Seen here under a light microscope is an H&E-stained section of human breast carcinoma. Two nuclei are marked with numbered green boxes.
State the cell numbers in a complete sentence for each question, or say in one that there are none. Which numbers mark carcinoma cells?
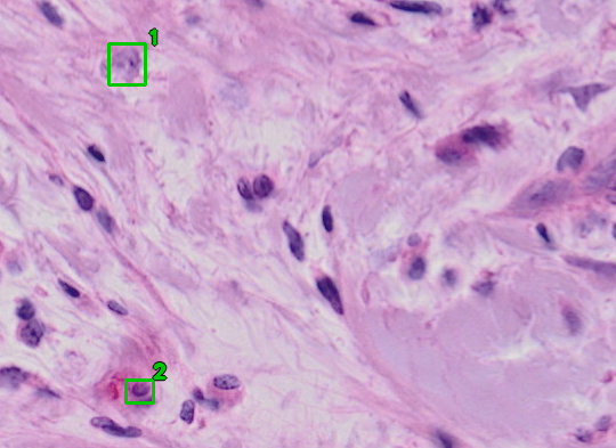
No carcinoma cells are present among the cells marked with numbers.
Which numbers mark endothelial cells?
Where the numbered cells are concerned, only number 2 is an endothelial cell.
